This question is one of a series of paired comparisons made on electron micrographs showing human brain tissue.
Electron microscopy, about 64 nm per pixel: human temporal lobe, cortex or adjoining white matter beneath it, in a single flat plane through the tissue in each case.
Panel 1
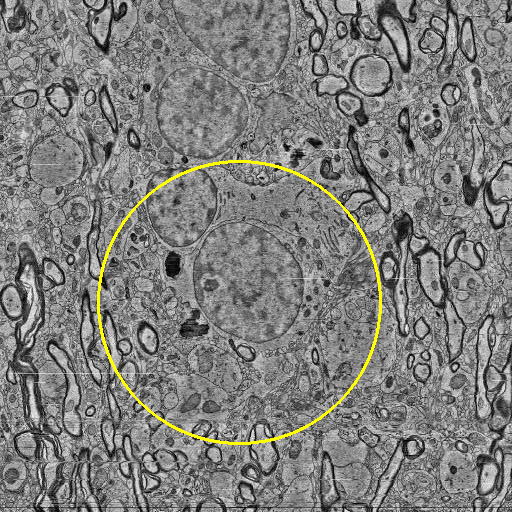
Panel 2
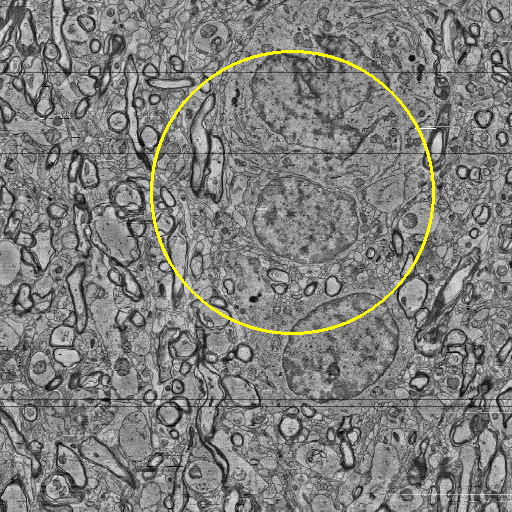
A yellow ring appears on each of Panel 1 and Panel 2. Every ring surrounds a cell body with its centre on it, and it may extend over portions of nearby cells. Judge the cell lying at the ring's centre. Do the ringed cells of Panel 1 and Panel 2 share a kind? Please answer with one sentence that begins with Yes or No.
Yes, the ring-centre cell in Panel 1 and the one in Panel 2 are of one kind.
